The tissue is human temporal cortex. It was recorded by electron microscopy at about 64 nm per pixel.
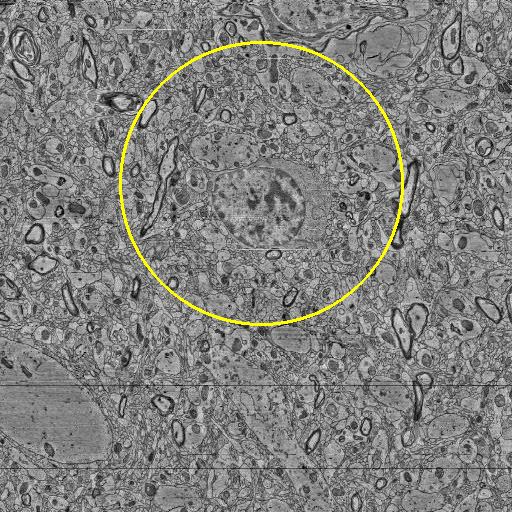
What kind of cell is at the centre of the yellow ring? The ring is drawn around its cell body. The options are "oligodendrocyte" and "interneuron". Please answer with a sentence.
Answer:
The yellow ring marks the cell body of an oligodendrocyte.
